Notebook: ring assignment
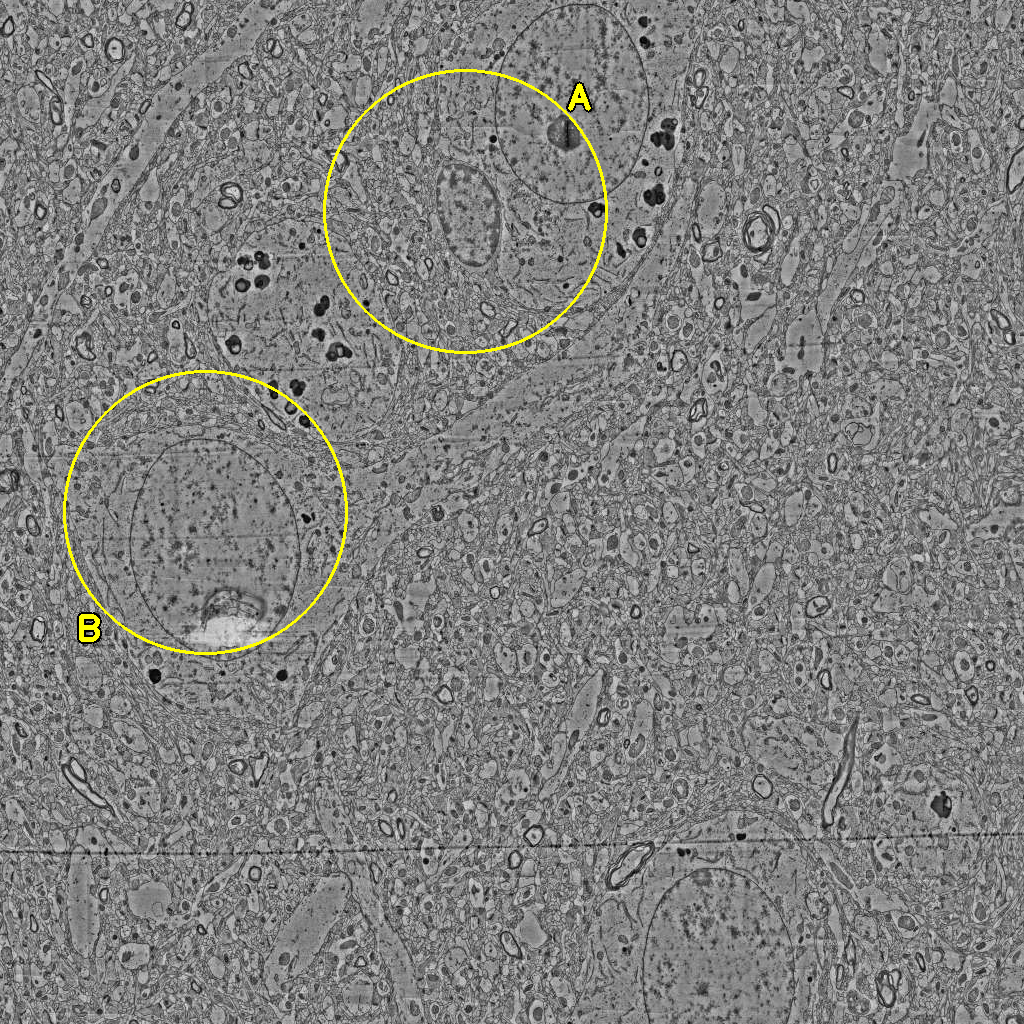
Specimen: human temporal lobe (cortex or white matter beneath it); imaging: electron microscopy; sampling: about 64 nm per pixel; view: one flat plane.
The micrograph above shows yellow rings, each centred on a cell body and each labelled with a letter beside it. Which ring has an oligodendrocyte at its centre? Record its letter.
A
